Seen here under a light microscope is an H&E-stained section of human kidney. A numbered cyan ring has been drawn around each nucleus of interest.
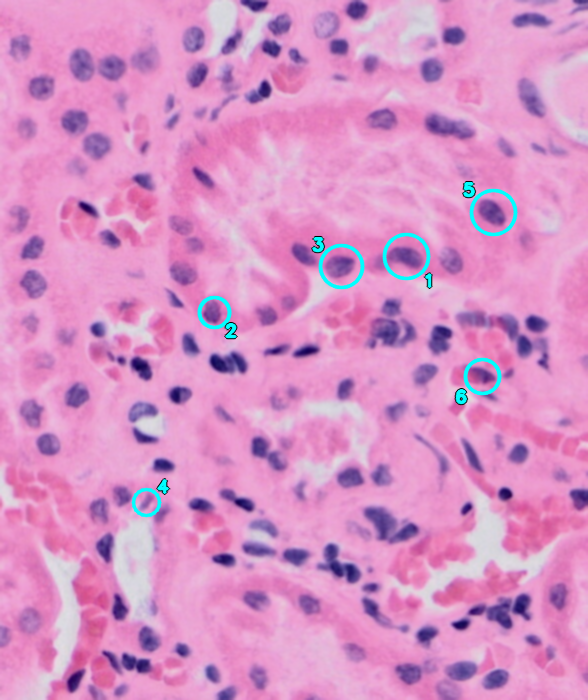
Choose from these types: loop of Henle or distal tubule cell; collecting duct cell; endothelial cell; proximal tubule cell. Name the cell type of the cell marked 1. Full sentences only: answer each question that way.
The nucleus with number 1 is that of a proximal tubule cell.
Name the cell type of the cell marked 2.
The cell referred to as 2 is a proximal tubule cell.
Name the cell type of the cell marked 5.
The cell identified by the number 5 is a proximal tubule cell.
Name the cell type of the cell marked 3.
The nucleus labeled 3 belongs to a proximal tubule cell.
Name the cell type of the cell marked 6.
The numeral 6 marks an endothelial cell in this section.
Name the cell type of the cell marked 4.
Cell 4 of the marked set is a loop of Henle or distal tubule cell.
